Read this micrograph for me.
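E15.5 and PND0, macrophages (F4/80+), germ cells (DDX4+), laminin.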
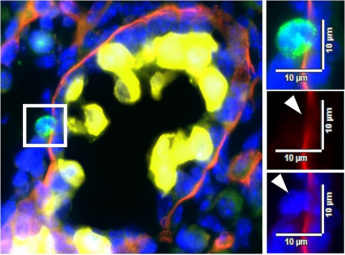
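This is a testis cord cut across, its edge traced by a thin red basement membrane. In the boxed area at the left edge a small round cell ringed in green, with a blue nucleus, sits right at the red line, neither fully inside nor outside the cord. The enlargements at the right show this cell and, with arrowheads, the red membrane running beside it. Outside the cord are many small blue nuclei of the surrounding tissue.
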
